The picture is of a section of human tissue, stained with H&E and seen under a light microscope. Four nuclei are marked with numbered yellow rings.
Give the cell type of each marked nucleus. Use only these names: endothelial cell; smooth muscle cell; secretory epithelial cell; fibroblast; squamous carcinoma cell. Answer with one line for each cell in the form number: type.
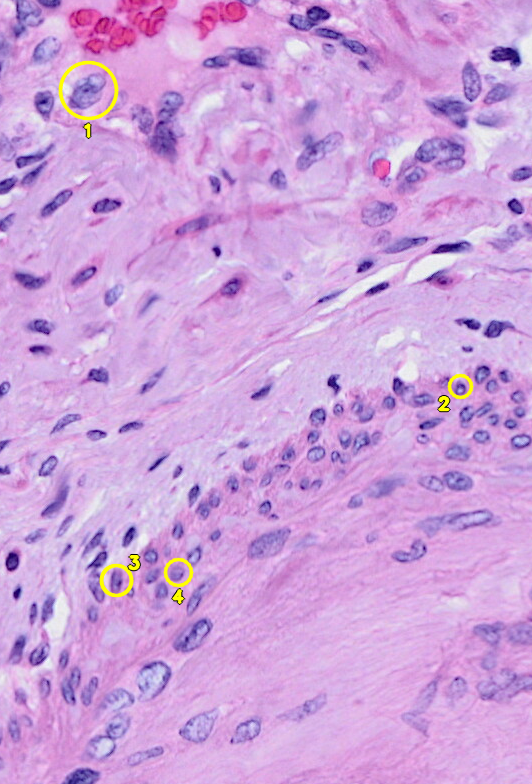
1: endothelial cell
2: smooth muscle cell
3: smooth muscle cell
4: smooth muscle cell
